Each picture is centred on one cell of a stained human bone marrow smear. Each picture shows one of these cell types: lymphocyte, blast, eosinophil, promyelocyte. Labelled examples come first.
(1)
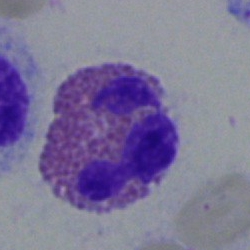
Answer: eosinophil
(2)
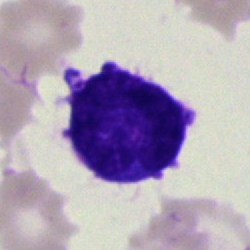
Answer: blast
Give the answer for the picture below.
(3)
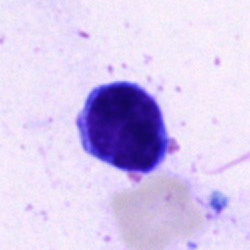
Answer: lymphocyte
